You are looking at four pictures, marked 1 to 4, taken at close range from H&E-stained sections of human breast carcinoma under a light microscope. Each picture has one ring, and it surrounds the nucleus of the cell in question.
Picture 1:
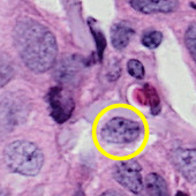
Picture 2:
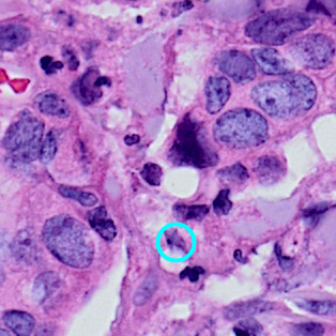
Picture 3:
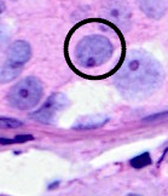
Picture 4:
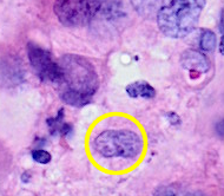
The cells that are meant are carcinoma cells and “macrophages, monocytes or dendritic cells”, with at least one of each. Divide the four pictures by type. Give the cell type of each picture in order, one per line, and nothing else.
macrophage, monocyte or dendritic cell
macrophage, monocyte or dendritic cell
carcinoma cell
macrophage, monocyte or dendritic cell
